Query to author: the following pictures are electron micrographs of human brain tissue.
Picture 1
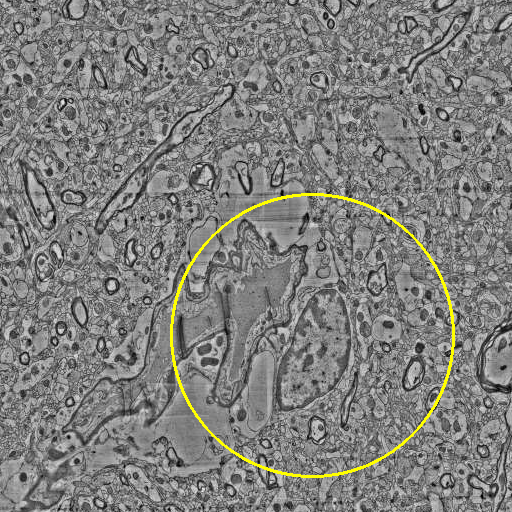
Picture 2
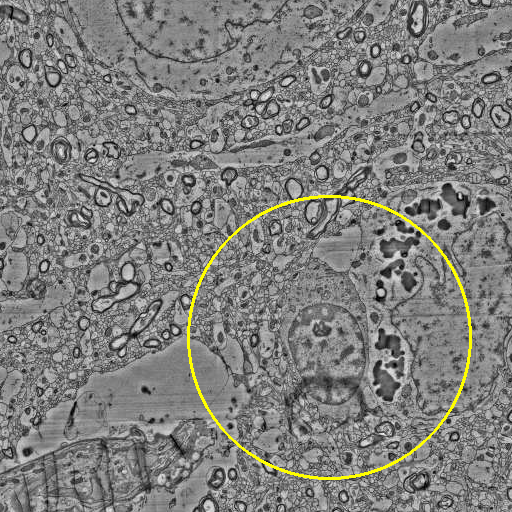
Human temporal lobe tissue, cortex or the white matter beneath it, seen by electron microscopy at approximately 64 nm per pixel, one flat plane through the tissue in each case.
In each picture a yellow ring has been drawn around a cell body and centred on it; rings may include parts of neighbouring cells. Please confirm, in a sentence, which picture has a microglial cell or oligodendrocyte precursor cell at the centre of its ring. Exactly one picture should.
Picture 1 has it at the centre of its ring.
